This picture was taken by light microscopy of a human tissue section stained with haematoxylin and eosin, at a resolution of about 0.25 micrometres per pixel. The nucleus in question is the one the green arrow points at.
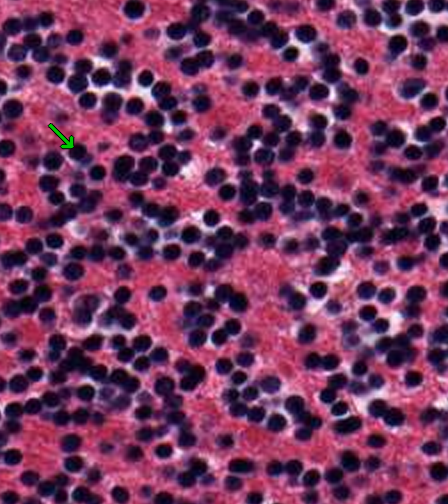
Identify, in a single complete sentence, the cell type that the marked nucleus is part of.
The marked nucleus sits within a cerebellar granule cell.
